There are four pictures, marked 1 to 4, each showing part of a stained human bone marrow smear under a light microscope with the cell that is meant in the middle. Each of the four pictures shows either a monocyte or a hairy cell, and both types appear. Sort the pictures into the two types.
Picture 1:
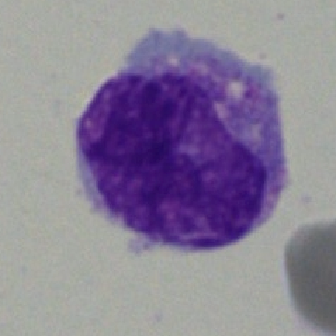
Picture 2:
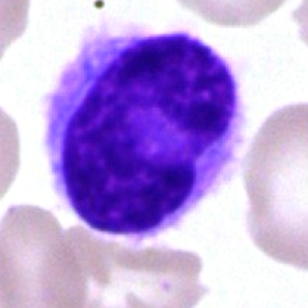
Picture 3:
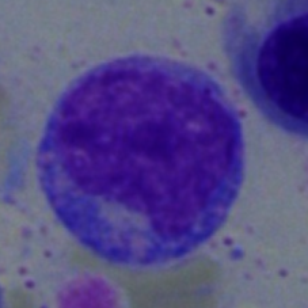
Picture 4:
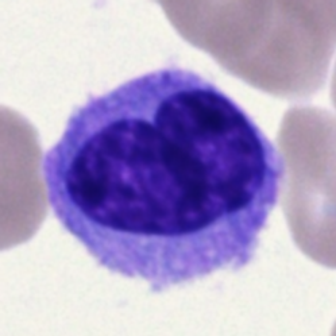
1: monocyte
2: hairy cell
3: monocyte
4: monocyte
